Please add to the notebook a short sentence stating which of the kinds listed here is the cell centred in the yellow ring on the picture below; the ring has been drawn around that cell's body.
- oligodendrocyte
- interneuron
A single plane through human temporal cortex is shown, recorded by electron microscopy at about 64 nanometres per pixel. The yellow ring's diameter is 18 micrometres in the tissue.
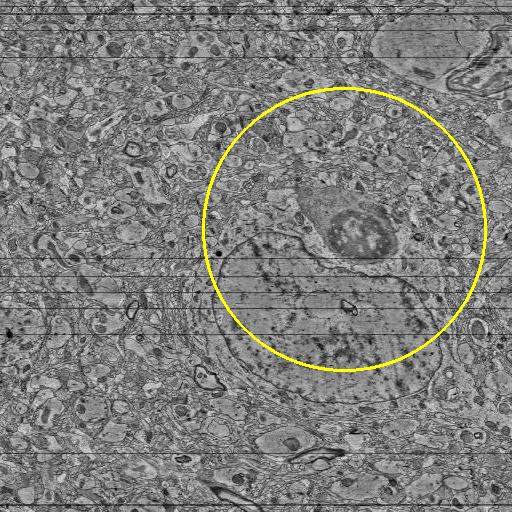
The cell centred in the yellow ring is an oligodendrocyte.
